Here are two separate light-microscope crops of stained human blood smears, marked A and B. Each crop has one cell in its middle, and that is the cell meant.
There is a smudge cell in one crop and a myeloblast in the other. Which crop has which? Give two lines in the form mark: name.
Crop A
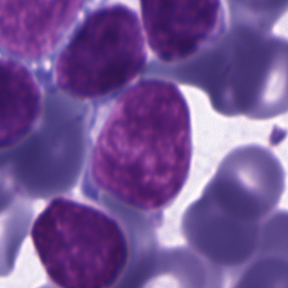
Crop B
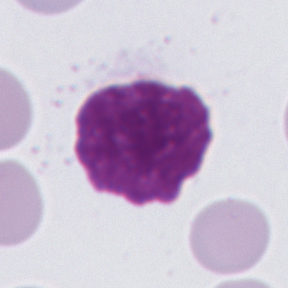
A: myeloblast
B: smudge cell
